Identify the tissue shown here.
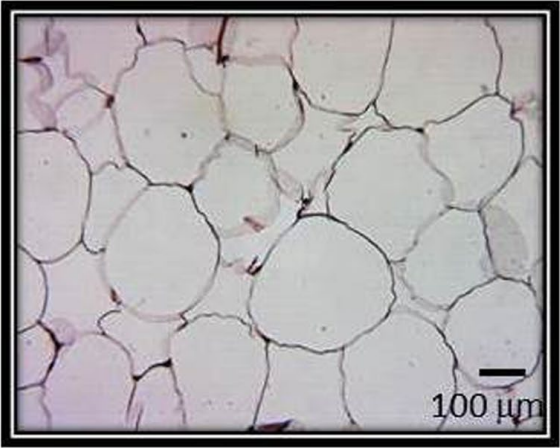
Adipose tissue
